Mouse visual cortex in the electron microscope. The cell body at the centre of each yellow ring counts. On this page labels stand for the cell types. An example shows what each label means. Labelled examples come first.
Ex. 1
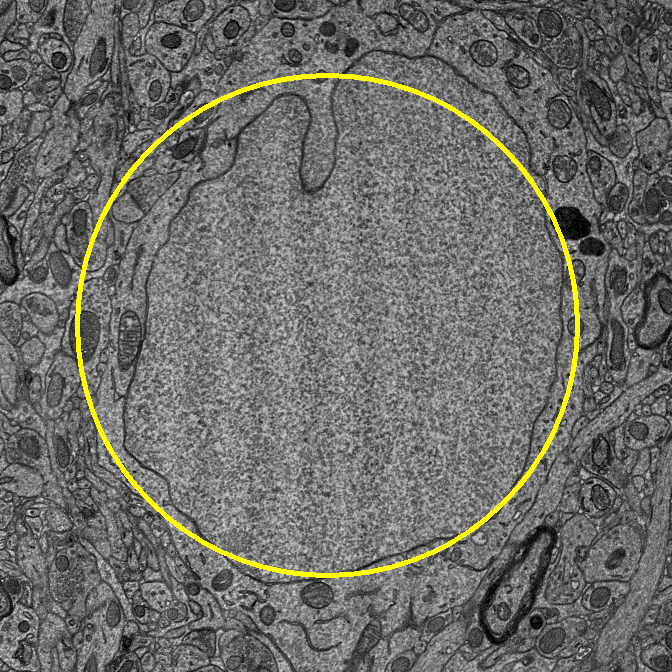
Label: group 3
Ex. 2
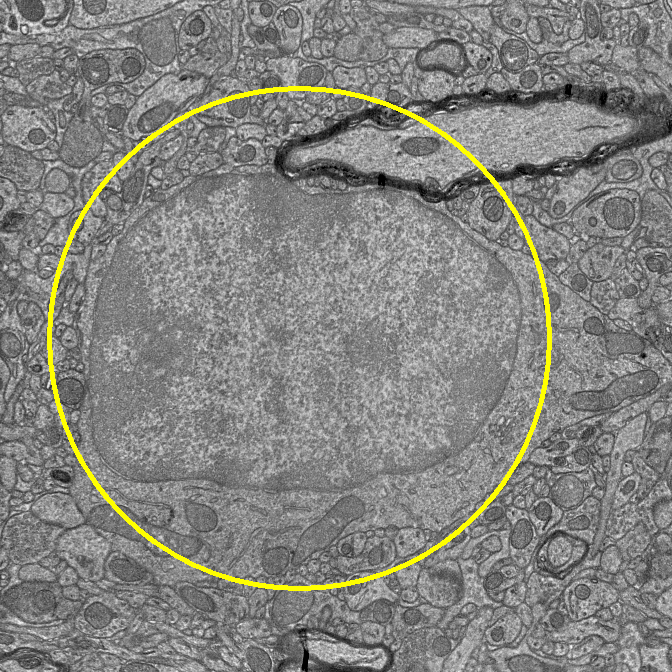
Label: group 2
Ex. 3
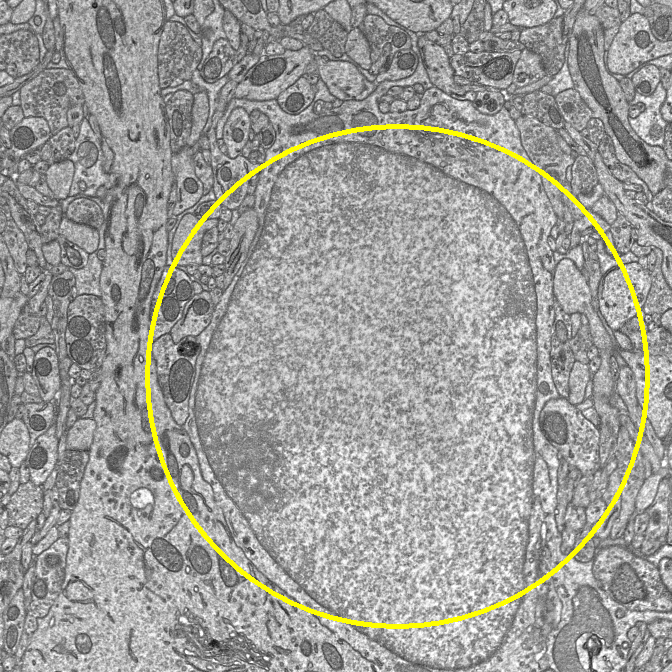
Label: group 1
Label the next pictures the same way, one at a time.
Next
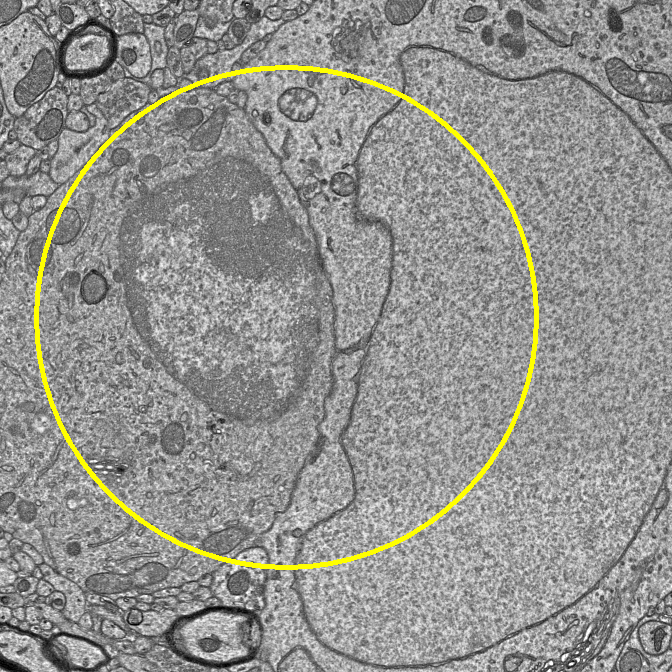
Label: group 2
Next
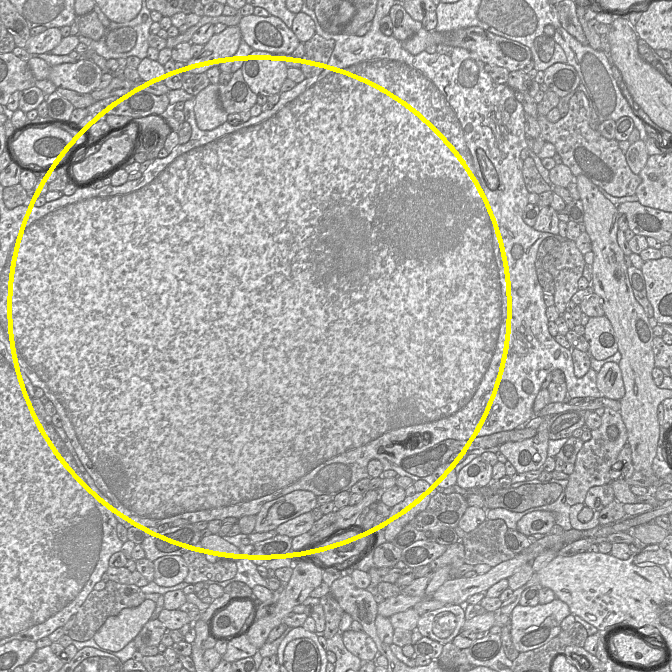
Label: group 1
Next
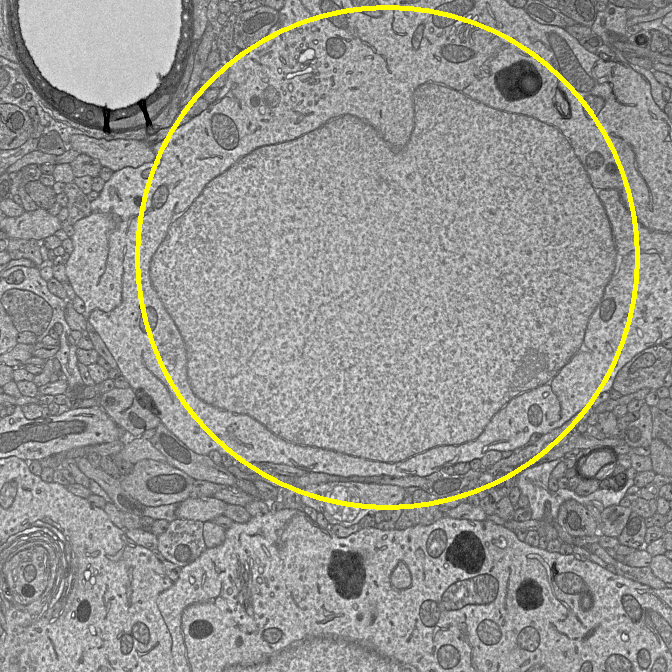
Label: group 3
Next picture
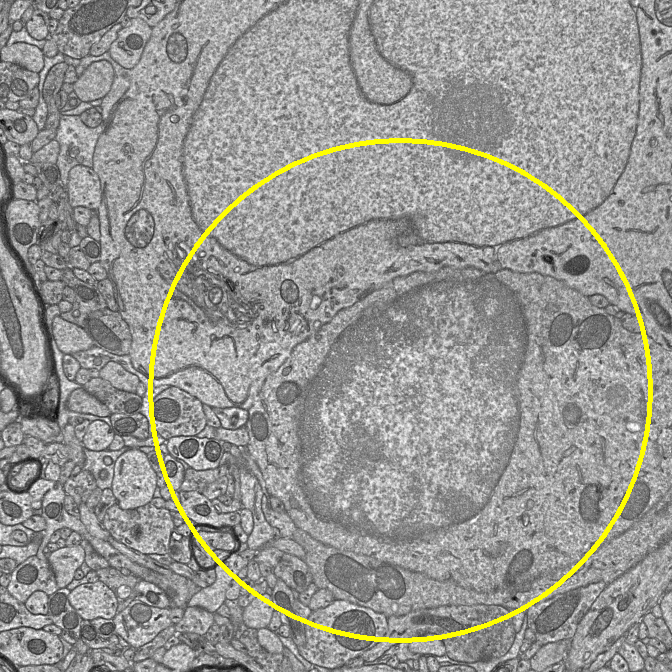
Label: group 2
